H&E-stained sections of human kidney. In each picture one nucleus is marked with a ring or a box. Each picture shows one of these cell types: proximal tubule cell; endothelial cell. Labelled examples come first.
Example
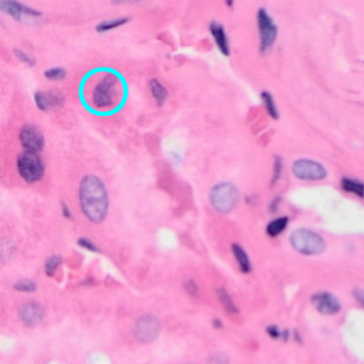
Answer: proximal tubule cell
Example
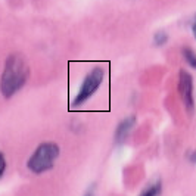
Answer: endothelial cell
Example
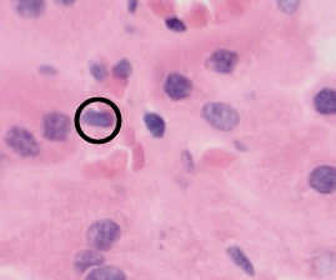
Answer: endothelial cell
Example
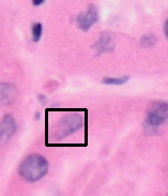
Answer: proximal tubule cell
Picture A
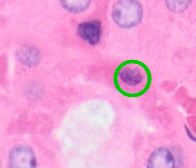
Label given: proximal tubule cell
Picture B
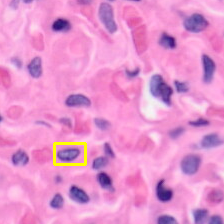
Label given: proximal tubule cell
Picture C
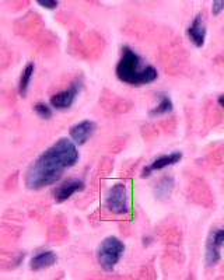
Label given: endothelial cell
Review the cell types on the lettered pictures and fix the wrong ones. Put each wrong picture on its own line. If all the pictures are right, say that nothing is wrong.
B: change proximal tubule cell to endothelial cell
